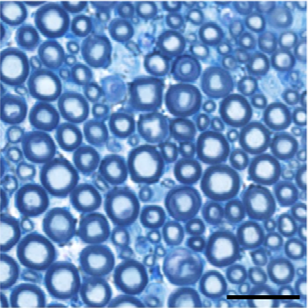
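This cross-section of nerve is filled with myelinated nerve fibres cut transversely, each a pale round axon surrounded by a thick, dark-blue ring of myelin. The fibres are of various sizes, many fairly large, and lie tightly packed against one another with only narrow strips of pale tissue between them.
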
